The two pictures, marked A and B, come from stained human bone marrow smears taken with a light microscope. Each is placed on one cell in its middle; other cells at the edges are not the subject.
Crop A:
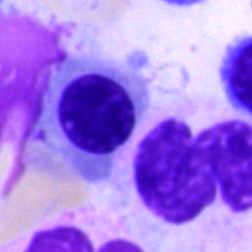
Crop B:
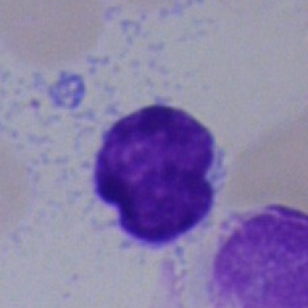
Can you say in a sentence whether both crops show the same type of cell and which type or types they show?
No, the central cell of crop A is an erythroblast; that of crop B is a lymphocyte.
